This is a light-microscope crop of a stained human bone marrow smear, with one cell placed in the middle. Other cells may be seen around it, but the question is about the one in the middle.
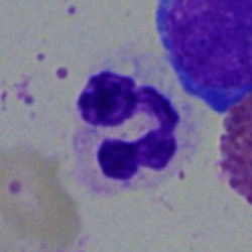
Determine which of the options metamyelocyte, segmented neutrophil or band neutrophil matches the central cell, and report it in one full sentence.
Seen at the centre of the crop is a segmented neutrophil.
